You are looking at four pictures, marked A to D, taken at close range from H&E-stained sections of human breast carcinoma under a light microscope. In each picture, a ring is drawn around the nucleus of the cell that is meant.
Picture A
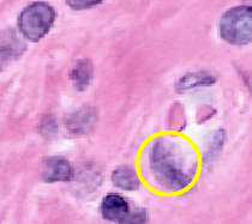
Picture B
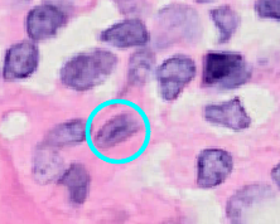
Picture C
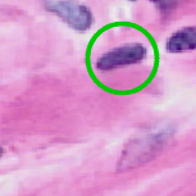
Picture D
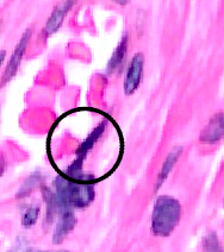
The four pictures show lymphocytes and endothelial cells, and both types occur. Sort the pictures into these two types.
A: endothelial cell
B: endothelial cell
C: lymphocyte
D: endothelial cell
